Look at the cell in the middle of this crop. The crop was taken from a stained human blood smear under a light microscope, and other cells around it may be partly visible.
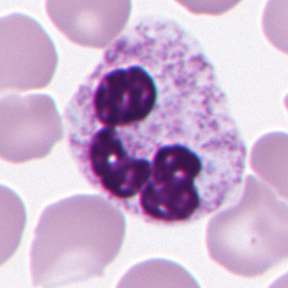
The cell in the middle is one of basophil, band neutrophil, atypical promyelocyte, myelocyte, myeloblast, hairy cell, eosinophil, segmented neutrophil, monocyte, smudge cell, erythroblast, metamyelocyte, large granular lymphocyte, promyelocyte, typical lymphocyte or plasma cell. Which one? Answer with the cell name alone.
segmented neutrophil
